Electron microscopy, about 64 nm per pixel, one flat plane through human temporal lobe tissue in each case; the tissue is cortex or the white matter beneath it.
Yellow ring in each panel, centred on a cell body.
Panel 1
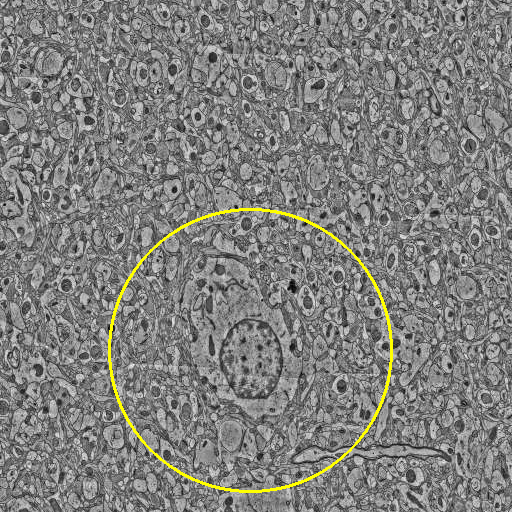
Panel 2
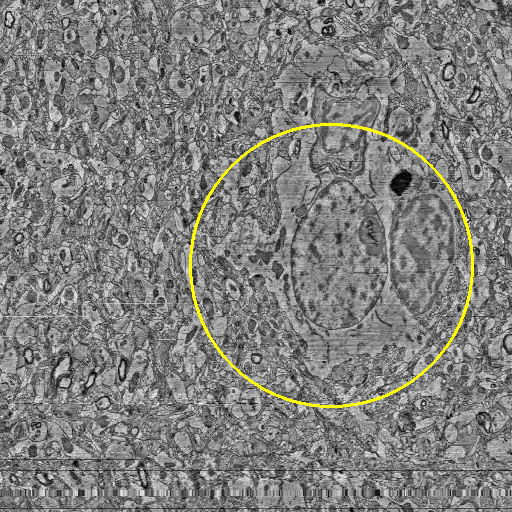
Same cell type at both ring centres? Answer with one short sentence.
Yes, both cells are of the same type.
